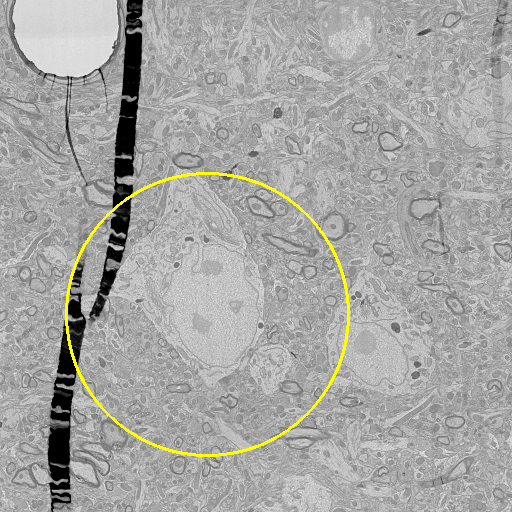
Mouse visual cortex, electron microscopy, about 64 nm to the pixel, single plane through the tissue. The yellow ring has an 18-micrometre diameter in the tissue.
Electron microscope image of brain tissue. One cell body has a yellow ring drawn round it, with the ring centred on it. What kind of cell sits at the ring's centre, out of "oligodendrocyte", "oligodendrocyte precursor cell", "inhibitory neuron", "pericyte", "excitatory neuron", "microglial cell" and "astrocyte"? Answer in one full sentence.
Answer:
It is an inhibitory neuron whose cell body sits at the centre of the yellow ring.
